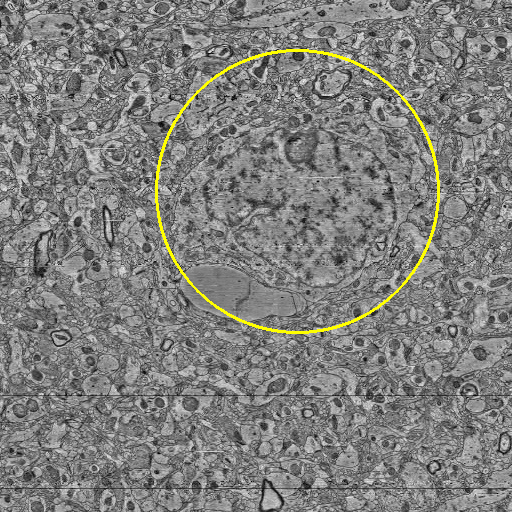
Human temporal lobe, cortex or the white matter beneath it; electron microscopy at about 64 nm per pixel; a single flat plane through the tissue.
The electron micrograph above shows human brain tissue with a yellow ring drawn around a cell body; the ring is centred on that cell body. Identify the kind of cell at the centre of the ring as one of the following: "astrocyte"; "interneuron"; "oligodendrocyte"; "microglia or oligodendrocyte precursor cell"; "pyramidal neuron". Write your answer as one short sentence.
The cell at the centre of the ring is an interneuron.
